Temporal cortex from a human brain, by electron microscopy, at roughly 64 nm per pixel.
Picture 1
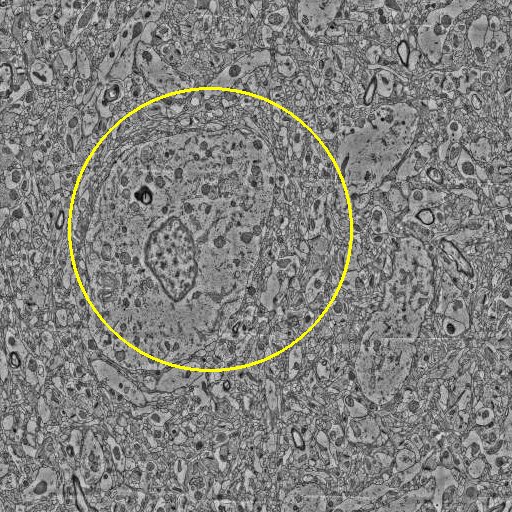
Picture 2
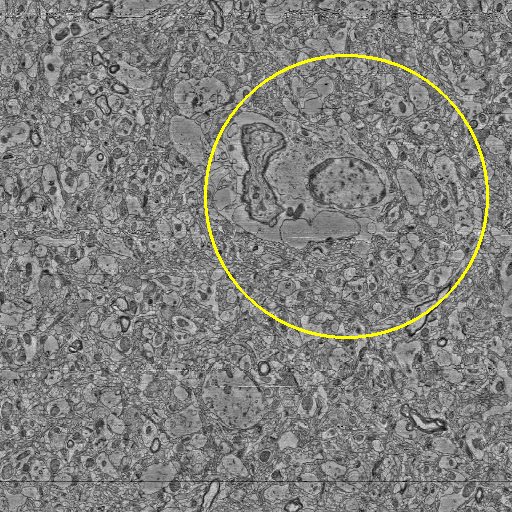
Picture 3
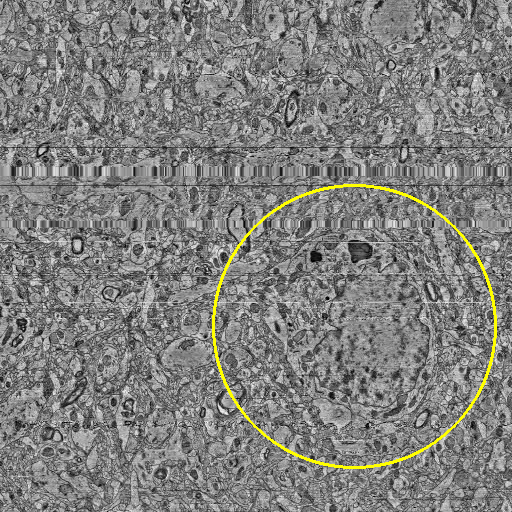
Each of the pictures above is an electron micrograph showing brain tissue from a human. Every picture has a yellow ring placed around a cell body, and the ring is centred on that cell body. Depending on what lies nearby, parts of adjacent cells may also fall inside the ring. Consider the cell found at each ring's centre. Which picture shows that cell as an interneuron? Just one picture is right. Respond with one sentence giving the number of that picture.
The picture showing the wanted cell at the ring's centre is number 3.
